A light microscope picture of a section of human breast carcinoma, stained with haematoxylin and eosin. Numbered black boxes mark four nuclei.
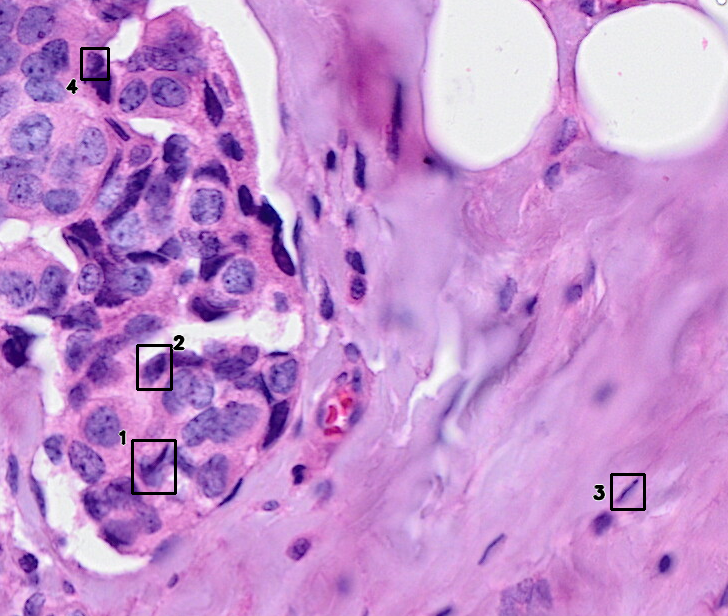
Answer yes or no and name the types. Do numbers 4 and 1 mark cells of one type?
Yes, both are carcinoma cells.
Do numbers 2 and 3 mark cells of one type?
No, cell 2 is a carcinoma cell and cell 3 is a fibroblast.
